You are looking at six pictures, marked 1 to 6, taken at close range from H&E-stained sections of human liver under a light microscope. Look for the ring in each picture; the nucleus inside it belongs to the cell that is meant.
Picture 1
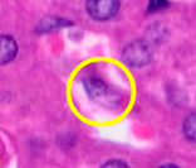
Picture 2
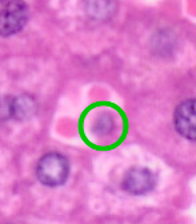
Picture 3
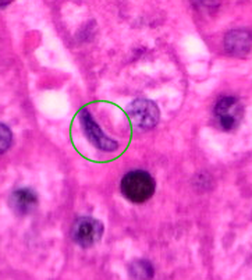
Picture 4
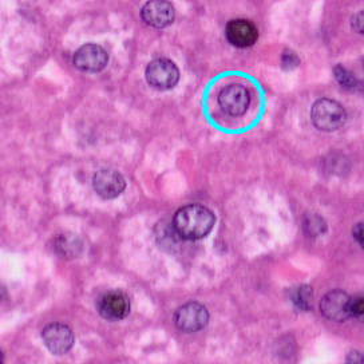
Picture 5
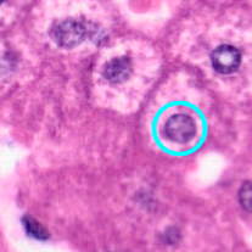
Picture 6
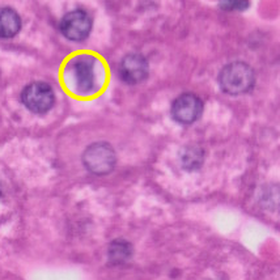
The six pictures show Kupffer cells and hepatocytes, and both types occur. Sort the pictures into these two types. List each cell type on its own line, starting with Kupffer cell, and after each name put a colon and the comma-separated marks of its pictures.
Kupffer cell: 1, 2, 3, 6
hepatocyte: 4, 5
